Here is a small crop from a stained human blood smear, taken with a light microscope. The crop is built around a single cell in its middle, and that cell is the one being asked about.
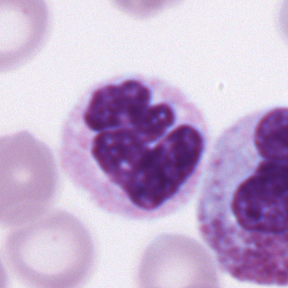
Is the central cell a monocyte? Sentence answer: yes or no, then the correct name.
No, the one in the center is not a monocyte; it is a segmented neutrophil.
